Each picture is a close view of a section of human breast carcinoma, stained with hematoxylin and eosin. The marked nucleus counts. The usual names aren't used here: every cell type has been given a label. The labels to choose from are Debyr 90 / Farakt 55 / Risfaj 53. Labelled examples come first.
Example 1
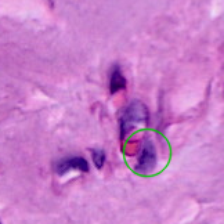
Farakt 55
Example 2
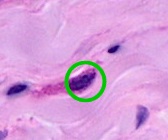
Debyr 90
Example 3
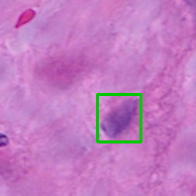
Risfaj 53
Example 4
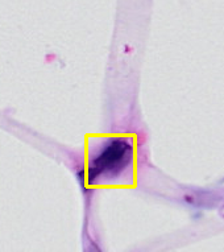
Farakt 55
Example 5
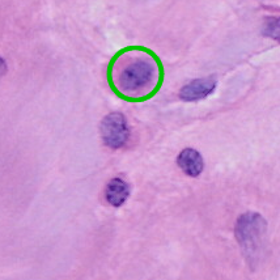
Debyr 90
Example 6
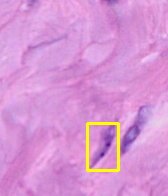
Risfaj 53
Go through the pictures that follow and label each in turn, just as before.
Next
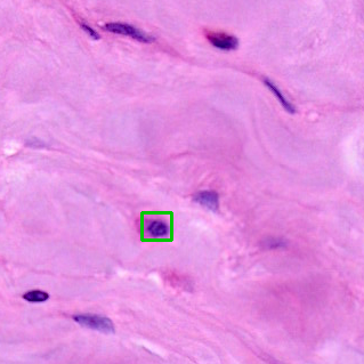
Debyr 90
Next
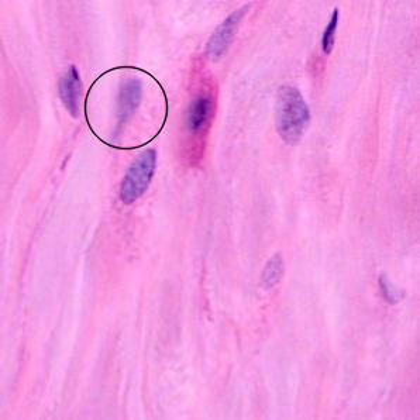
Risfaj 53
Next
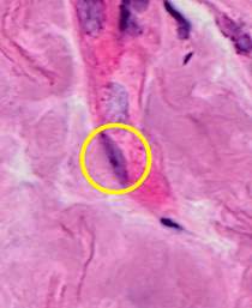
Farakt 55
